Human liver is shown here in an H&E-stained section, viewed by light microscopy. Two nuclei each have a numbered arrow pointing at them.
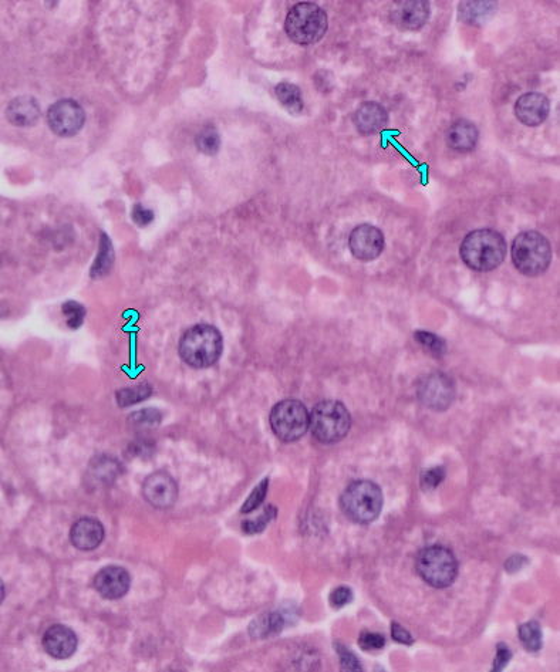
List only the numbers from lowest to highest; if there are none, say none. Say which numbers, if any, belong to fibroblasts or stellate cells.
2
